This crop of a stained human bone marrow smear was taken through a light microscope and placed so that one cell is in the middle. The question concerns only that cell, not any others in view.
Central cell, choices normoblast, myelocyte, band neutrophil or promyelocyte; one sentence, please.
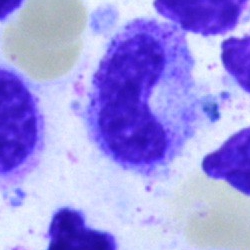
By classification, the middle cell of this crop is a band neutrophil.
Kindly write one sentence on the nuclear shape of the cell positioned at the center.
One compact mass makes up the whole nucleus, round, oval or kidney-shaped.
